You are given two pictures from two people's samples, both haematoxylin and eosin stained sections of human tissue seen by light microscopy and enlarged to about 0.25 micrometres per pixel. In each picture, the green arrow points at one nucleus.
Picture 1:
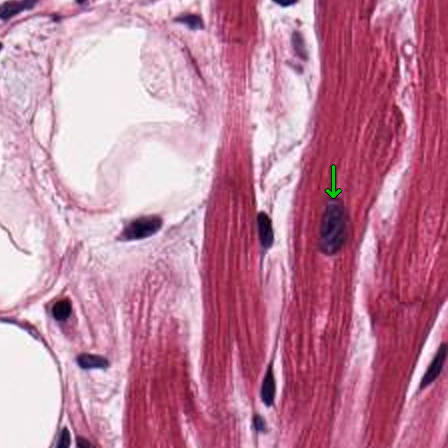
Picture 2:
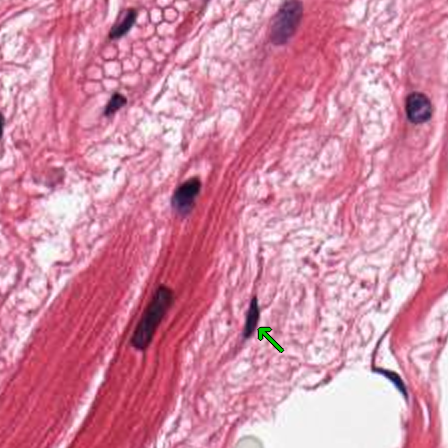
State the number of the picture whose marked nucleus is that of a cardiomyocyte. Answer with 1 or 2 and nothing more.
1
